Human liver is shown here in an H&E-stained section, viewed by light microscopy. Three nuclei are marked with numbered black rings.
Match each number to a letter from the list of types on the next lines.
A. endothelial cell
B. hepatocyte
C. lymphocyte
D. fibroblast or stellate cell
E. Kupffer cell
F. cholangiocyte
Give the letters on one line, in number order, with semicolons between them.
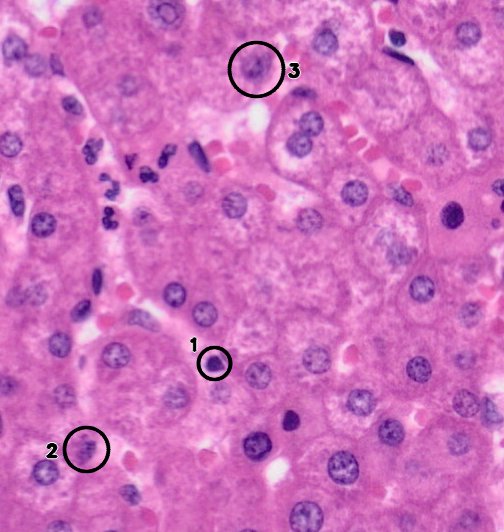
C; A; E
